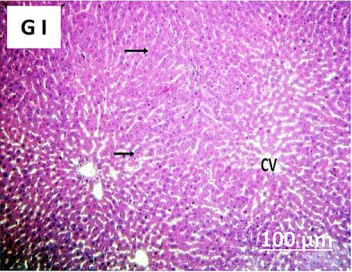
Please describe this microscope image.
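This is normal liver, with hepatocytes arranged in cords that radiate out from a central vein. The hepatocytes are polygonal cells with evenly pink cytoplasm and round, dark-staining central nuclei. Between the cords run narrow, pale sinusoids. The central vein appears as a small clear opening, and the surrounding tissue is uniform without clusters of inflammatory cells.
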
